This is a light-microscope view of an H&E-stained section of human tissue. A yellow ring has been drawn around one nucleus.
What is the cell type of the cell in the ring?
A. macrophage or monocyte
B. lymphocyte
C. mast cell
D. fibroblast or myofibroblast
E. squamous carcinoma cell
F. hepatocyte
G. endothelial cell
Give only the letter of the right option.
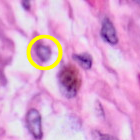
A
